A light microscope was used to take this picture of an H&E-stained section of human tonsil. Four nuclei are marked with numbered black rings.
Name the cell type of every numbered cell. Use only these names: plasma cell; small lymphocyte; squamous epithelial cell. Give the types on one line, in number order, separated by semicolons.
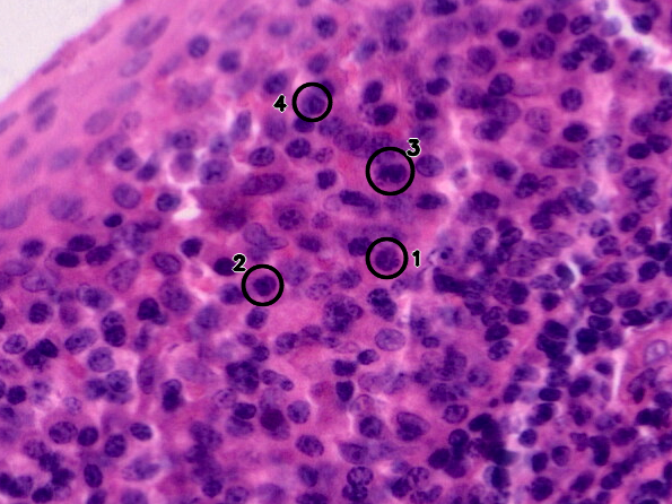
plasma cell; plasma cell; squamous epithelial cell; plasma cell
